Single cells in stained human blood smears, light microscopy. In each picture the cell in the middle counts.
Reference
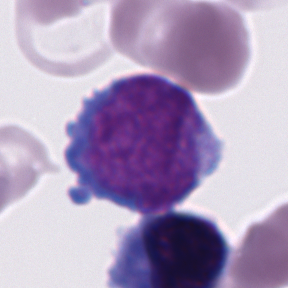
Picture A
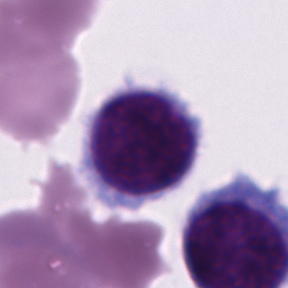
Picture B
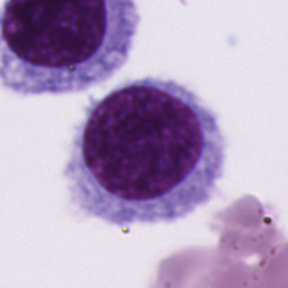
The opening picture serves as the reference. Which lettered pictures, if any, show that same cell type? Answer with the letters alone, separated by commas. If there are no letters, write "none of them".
none of them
